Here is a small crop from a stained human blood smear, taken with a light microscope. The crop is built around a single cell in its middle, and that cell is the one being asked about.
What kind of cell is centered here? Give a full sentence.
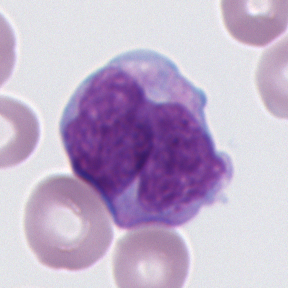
By type, the central cell of the crop is an atypical promyelocyte.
